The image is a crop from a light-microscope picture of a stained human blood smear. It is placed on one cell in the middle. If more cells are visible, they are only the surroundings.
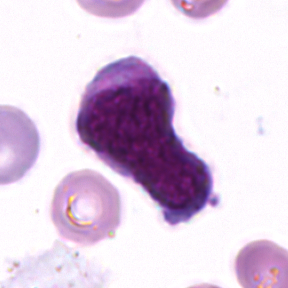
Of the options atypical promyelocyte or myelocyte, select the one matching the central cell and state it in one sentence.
The single cell at the center of the crop is an atypical promyelocyte.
